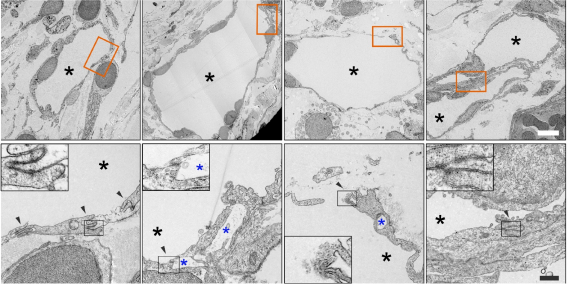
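In the upper row the lumens appear as wide pale spaces with the surrounding connective tissue and cells around them. The lower row enlarges the vessel wall, where the flat endothelial cells meet and overlap at junctions, shown further magnified in the insets. In some images small rounded clear vesicles sit within the wall close to these junctions. The lumens themselves contain little or no material.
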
